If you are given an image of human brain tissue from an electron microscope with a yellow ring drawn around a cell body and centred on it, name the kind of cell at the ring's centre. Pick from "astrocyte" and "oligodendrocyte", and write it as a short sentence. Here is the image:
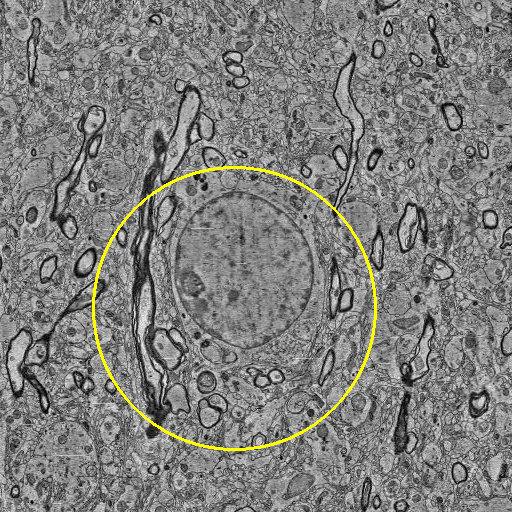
The cell at the ring's centre is an astrocyte.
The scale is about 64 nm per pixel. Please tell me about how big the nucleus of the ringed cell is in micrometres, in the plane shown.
Approximately 10 by 9 micrometers in this plane.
